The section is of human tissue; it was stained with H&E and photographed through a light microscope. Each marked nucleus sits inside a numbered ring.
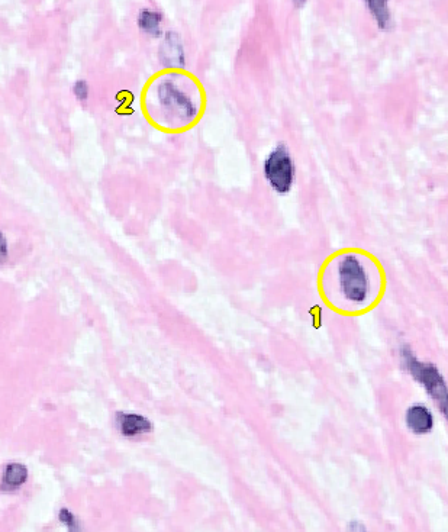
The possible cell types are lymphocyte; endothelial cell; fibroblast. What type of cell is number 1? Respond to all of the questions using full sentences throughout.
In this section, the cell tagged 1 is a lymphocyte.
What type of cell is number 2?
What the number 2 marks in this field is a fibroblast.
